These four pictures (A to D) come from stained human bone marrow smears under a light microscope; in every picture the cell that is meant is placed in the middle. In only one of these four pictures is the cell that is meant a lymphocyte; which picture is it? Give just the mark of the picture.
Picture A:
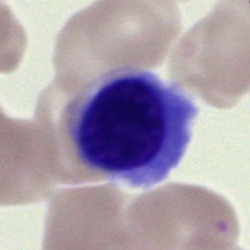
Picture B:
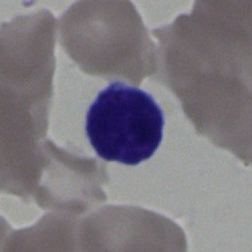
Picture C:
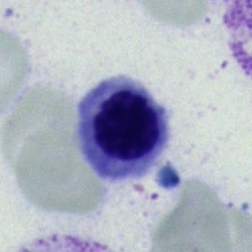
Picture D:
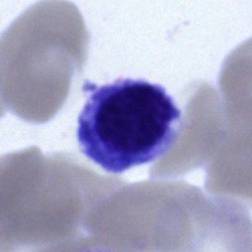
B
